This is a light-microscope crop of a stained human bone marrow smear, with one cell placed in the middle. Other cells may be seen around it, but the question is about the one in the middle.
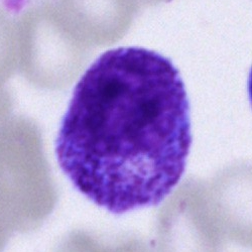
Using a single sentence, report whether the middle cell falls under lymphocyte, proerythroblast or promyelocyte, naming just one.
The cell found in the middle of this crop is a promyelocyte.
